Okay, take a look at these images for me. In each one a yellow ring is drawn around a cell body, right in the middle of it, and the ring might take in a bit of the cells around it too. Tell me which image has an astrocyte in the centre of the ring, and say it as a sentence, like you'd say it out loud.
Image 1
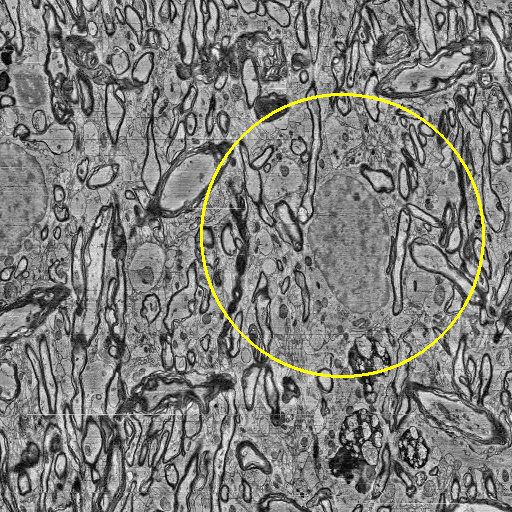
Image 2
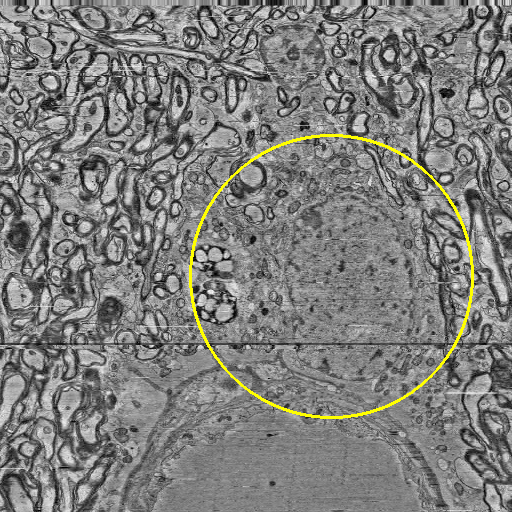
Image 2 is the one with it in the centre of the ring.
